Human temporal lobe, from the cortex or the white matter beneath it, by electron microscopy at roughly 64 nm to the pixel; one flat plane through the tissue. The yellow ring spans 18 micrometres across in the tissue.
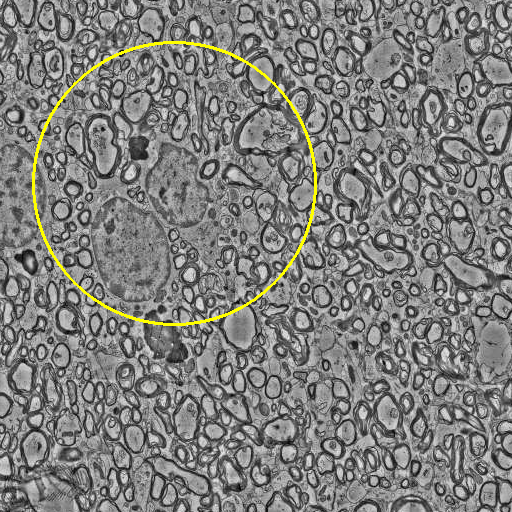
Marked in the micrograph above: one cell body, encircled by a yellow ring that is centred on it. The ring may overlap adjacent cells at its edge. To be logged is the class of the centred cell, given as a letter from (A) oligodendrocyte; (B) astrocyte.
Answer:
A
